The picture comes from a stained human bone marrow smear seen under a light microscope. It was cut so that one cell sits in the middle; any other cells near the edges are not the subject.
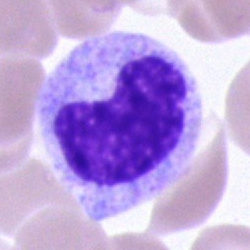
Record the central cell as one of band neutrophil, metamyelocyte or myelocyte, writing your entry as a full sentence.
In this smear crop, the middle cell is a metamyelocyte.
